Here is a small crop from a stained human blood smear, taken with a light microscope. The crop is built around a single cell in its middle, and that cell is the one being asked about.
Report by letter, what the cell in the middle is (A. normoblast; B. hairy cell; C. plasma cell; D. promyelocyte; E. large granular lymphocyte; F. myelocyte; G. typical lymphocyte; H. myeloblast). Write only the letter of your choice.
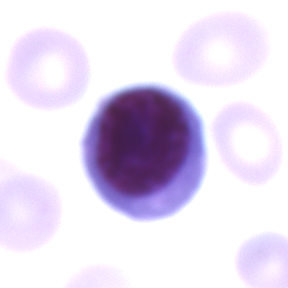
A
